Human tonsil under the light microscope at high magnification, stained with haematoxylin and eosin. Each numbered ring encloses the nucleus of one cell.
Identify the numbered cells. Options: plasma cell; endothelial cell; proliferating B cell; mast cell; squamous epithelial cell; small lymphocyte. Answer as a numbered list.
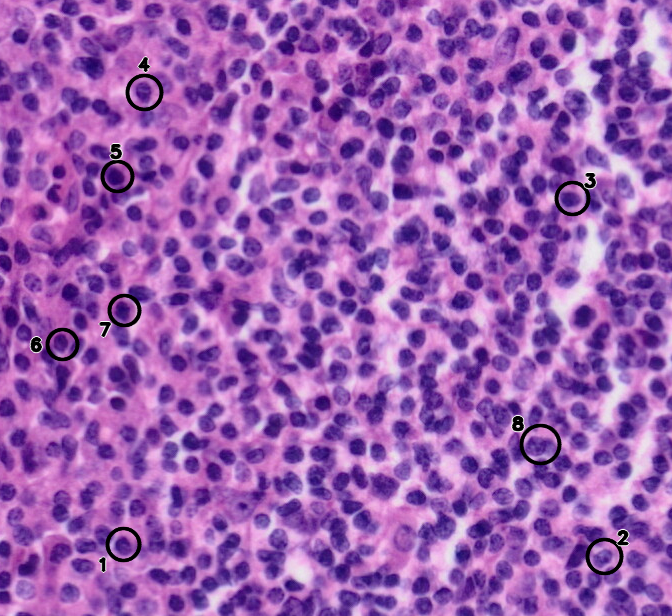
1. plasma cell
2. small lymphocyte
3. small lymphocyte
4. plasma cell
5. plasma cell
6. plasma cell
7. plasma cell
8. small lymphocyte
